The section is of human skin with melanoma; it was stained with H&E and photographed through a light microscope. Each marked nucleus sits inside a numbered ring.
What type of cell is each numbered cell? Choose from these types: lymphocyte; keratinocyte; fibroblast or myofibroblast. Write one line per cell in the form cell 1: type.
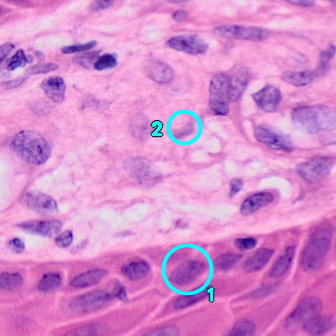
cell 1: keratinocyte
cell 2: fibroblast or myofibroblast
